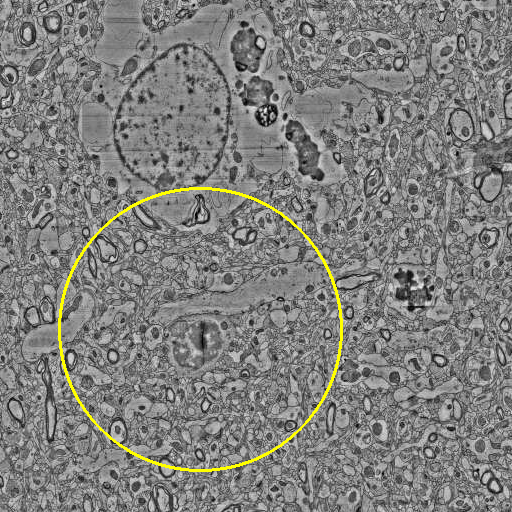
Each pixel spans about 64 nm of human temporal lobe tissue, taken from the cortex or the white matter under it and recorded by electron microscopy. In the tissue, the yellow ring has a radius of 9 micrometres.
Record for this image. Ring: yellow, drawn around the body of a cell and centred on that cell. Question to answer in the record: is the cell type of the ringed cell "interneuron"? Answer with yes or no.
no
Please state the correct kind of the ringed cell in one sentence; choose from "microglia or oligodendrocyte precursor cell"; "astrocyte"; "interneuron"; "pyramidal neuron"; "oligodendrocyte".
The cell circled by the yellow ring is an oligodendrocyte.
